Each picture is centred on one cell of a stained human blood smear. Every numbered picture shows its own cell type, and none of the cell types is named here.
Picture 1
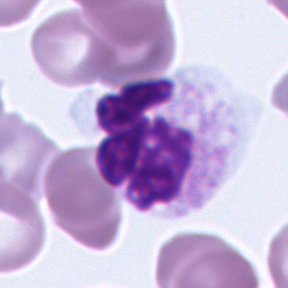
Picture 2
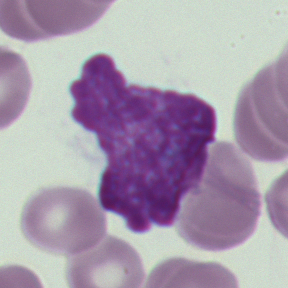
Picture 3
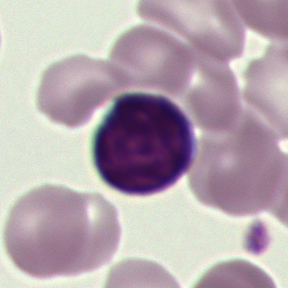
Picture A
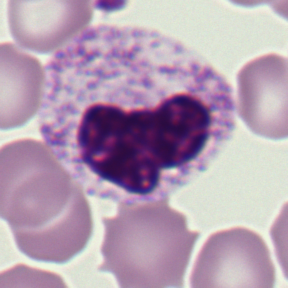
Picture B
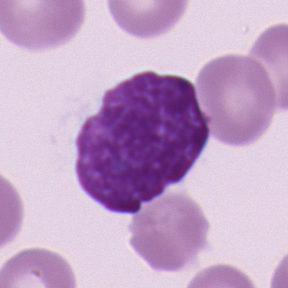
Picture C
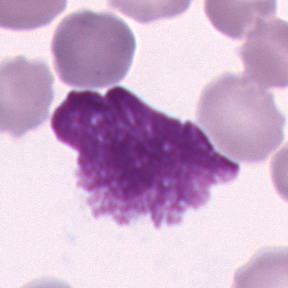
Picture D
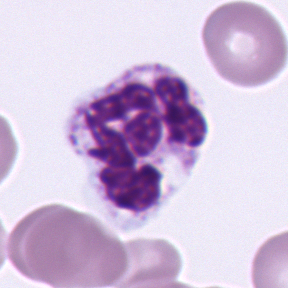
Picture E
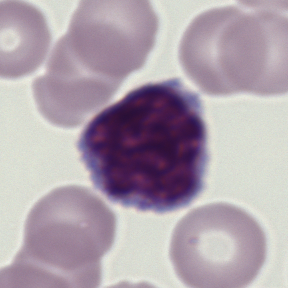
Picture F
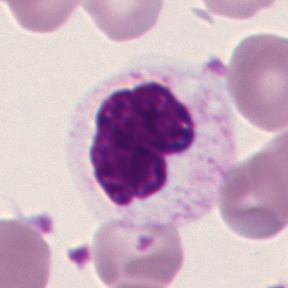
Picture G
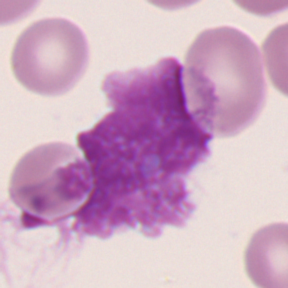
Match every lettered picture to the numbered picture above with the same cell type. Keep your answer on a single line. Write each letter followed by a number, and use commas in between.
A 1, B 2, C 2, D 1, E 3, F 1, G 2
